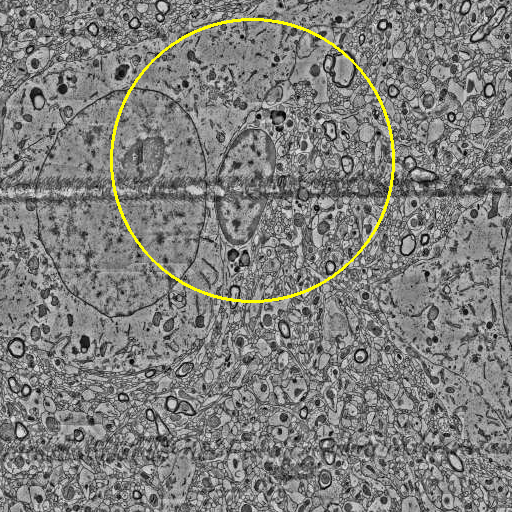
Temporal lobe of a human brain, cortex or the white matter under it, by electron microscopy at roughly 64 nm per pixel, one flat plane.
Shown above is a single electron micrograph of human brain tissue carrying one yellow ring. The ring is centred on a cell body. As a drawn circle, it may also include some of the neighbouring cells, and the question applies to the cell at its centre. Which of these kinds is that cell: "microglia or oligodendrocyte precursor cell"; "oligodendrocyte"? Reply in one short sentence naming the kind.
The cell marked by the ring is a microglial cell or oligodendrocyte precursor cell.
